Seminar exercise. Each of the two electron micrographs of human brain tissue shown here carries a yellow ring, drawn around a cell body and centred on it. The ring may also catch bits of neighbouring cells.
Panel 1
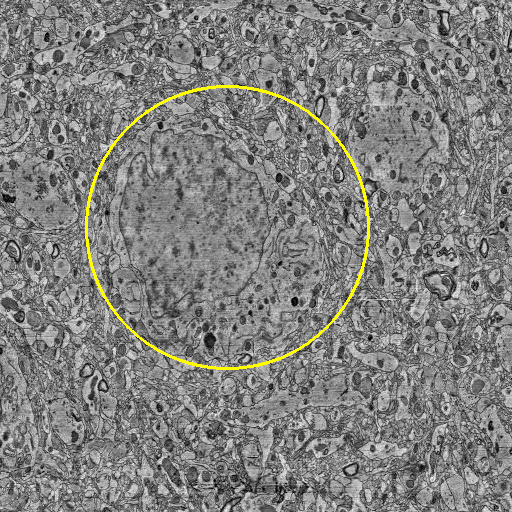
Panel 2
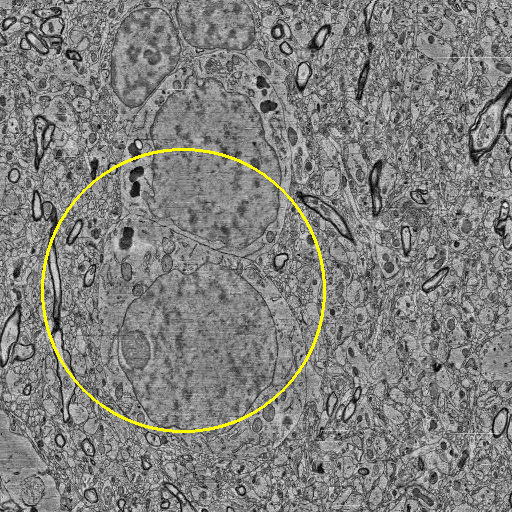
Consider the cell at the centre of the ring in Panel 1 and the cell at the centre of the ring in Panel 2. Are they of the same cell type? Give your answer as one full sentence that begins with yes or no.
No, the two cells are of two types.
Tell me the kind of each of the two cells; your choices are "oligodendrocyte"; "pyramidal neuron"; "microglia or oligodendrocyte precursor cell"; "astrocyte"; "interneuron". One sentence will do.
The ringed cell is an interneuron in the first picture and a pyramidal neuron in the second picture.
